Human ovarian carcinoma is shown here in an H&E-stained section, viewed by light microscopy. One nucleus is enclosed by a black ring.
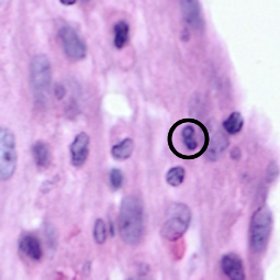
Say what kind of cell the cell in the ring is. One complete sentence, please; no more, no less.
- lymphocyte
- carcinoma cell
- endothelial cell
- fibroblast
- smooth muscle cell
On this particular slide, the cell in the ring is a lymphocyte.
